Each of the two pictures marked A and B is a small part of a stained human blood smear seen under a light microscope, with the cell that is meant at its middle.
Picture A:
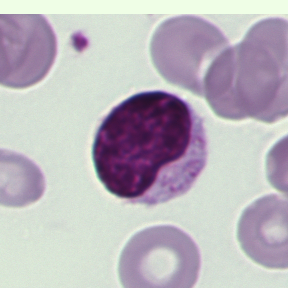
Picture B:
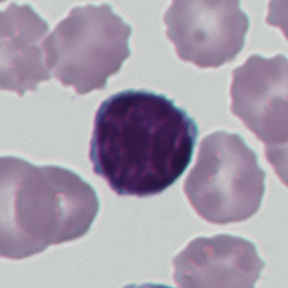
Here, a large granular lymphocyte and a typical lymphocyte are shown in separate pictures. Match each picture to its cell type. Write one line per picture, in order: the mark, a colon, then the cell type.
A: large granular lymphocyte
B: typical lymphocyte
